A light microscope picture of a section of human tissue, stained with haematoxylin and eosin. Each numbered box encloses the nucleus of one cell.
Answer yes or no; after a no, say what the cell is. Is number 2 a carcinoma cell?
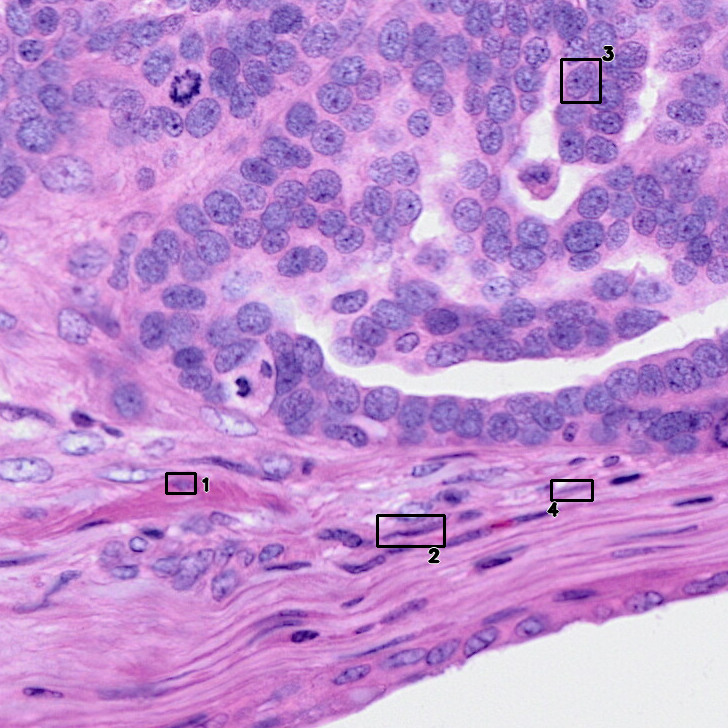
No, it is a fibroblast.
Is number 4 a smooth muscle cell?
No, it is a fibroblast.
